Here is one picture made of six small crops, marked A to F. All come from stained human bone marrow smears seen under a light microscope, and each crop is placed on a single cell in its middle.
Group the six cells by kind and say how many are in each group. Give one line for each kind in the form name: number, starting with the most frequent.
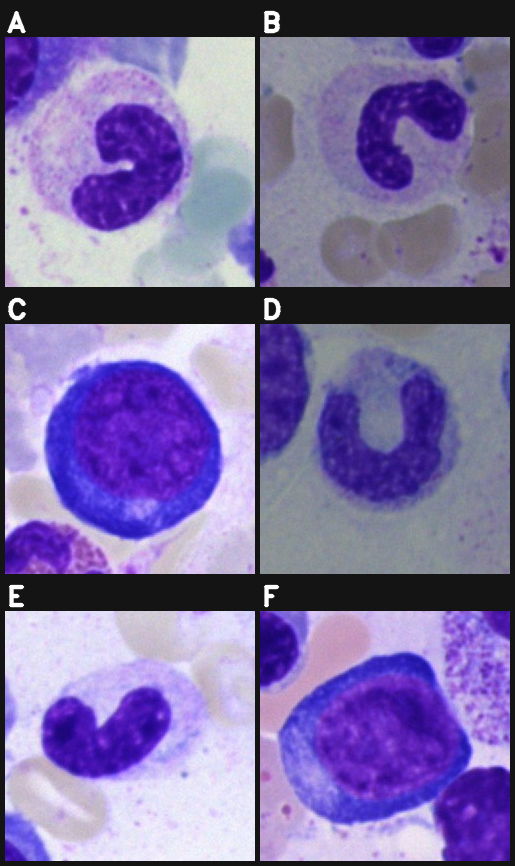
band neutrophil: 4
proerythroblast: 2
